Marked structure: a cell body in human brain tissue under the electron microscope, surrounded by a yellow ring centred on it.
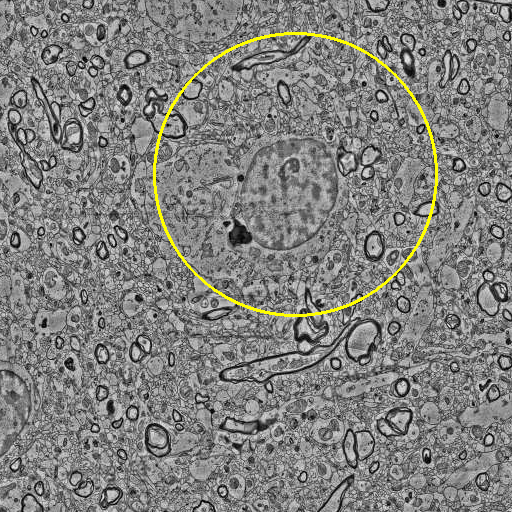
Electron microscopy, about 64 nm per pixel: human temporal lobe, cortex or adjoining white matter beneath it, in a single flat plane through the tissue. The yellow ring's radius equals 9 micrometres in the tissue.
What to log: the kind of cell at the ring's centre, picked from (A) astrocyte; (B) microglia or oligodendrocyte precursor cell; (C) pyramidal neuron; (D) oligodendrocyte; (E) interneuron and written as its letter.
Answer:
D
